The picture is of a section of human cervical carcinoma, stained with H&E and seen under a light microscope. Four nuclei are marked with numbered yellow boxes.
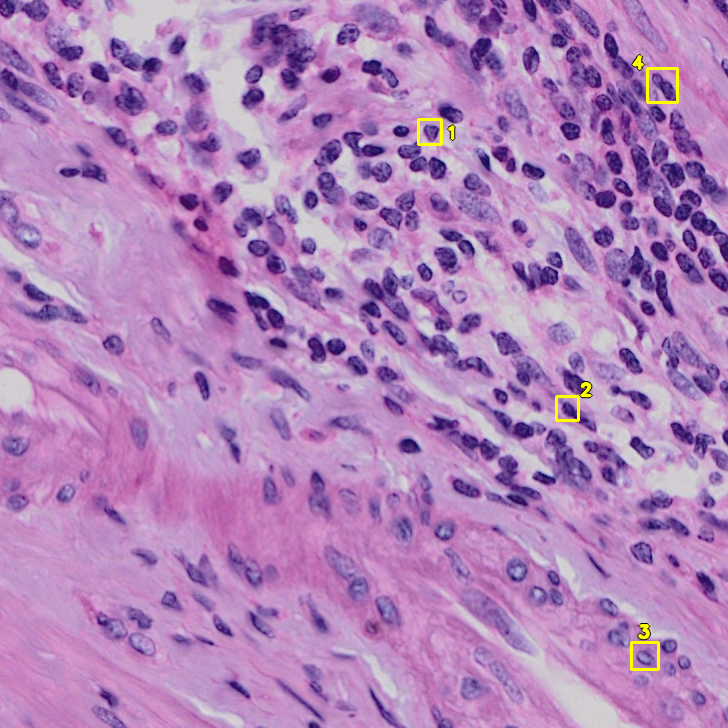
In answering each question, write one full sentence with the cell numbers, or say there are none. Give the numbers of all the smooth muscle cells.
Only the cell with the number 3 is a smooth muscle cell.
